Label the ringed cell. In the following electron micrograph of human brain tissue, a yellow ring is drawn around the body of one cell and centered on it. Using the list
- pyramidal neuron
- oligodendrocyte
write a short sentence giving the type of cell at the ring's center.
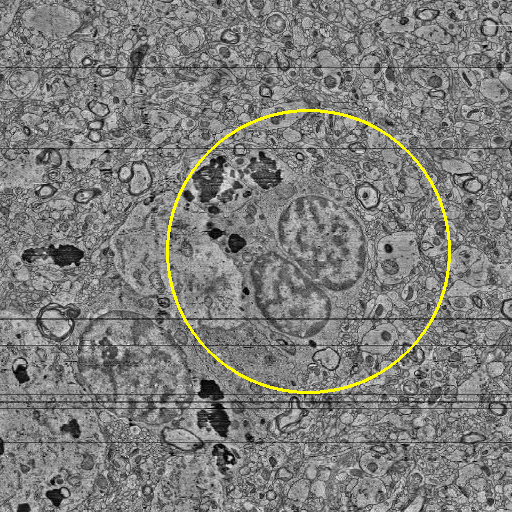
The cell body at the ring's center is that of an oligodendrocyte.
